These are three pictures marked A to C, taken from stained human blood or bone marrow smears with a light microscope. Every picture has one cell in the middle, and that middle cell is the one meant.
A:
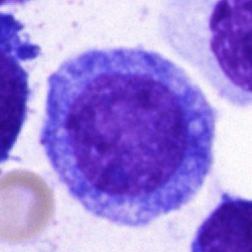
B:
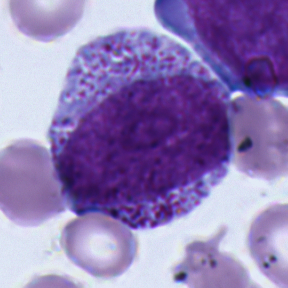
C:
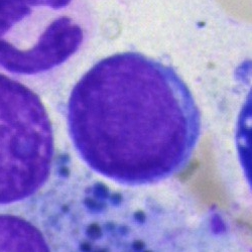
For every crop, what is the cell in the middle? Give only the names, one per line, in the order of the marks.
promyelocyte
promyelocyte
blast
